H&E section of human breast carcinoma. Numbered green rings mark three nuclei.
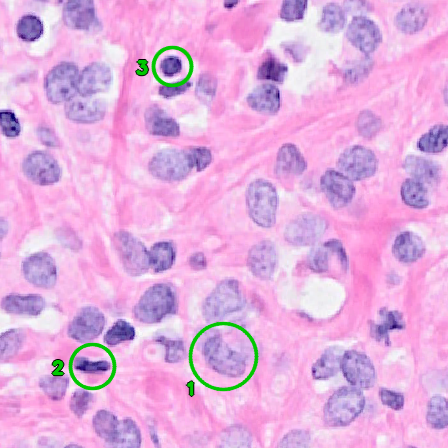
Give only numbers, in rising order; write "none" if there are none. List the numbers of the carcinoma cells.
1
